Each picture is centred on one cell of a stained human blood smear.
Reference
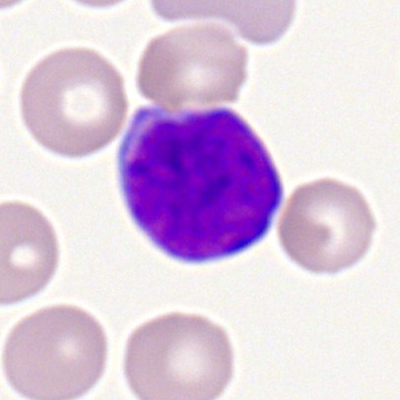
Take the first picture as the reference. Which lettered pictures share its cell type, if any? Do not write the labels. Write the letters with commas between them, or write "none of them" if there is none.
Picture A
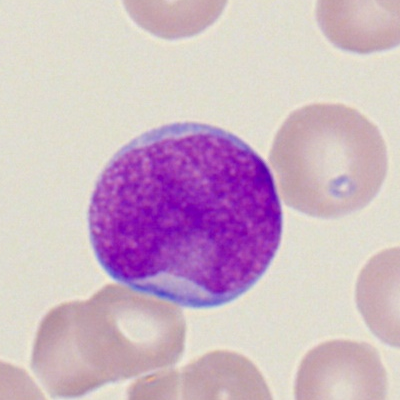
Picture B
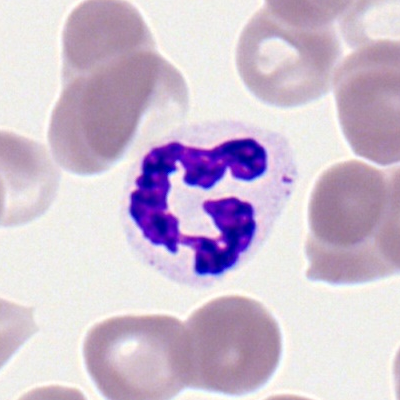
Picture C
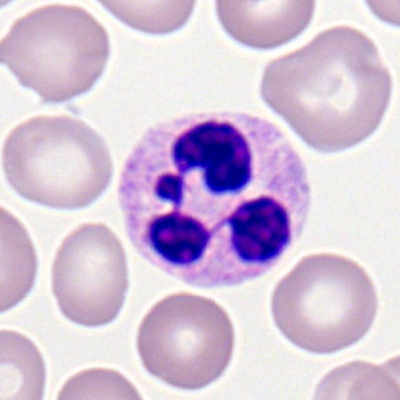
A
